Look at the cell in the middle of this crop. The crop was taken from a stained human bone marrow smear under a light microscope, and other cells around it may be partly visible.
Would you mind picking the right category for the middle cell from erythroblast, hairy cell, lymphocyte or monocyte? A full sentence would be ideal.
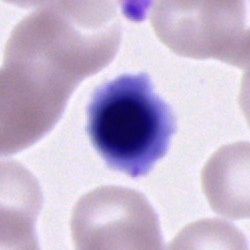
The crop's centre is taken up by an erythroblast.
